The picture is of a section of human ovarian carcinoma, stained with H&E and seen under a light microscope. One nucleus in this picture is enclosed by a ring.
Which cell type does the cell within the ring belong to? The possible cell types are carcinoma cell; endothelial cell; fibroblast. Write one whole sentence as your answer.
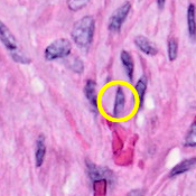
With respect to cell type, the cell within the ring is a fibroblast.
